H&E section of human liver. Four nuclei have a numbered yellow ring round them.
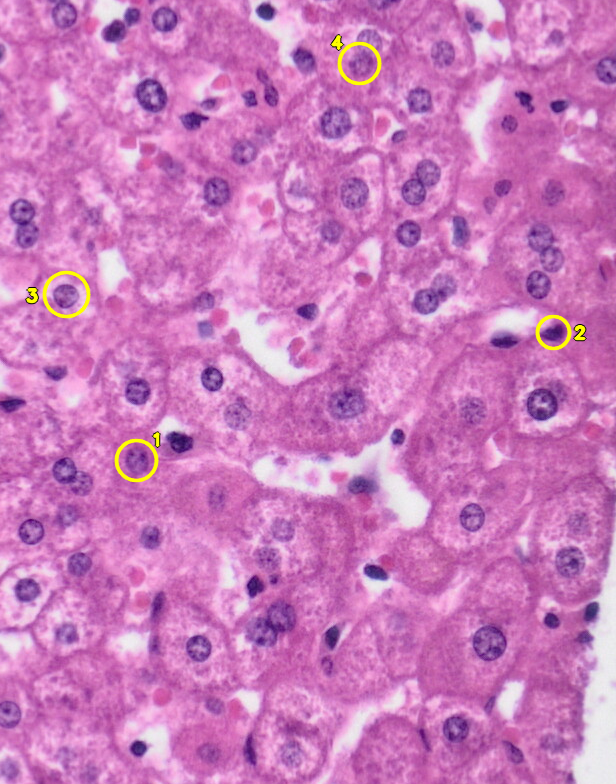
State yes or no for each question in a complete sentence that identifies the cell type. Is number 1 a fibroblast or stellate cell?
No, the cell at marker 1 is not a fibroblast or stellate cell; it is a hepatocyte.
